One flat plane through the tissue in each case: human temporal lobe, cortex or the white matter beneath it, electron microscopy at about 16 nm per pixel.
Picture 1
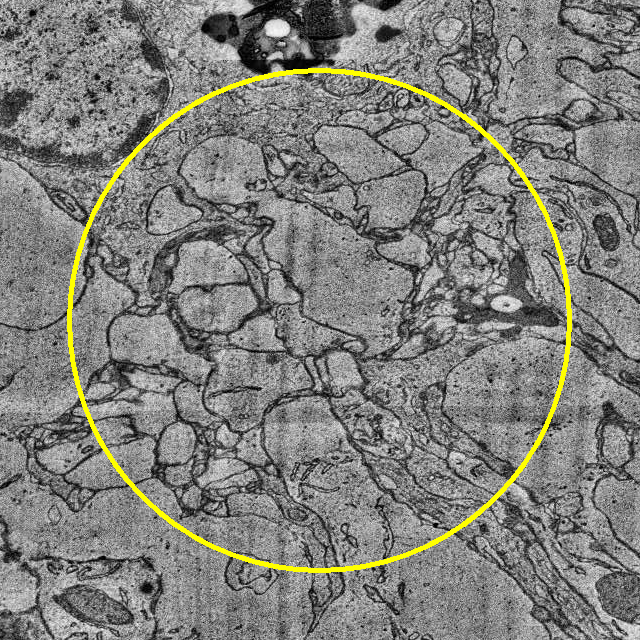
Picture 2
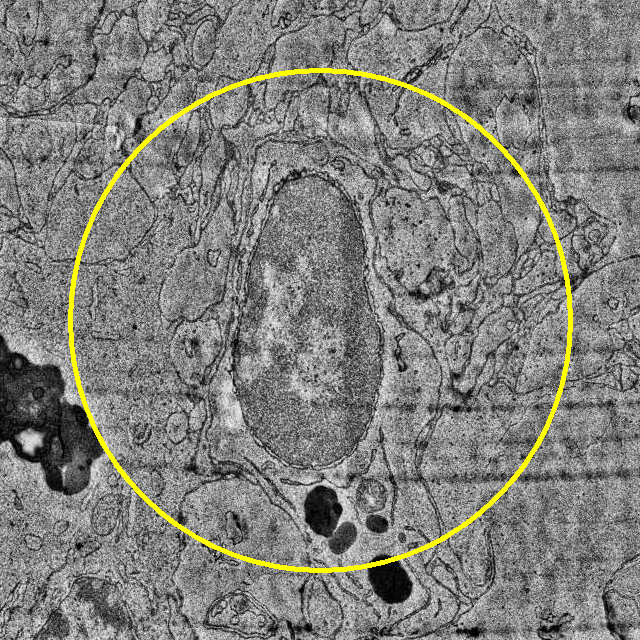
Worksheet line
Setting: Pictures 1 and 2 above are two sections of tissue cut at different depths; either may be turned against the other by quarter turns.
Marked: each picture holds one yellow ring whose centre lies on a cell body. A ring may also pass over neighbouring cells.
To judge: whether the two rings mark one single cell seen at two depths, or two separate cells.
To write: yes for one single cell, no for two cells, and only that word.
yes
